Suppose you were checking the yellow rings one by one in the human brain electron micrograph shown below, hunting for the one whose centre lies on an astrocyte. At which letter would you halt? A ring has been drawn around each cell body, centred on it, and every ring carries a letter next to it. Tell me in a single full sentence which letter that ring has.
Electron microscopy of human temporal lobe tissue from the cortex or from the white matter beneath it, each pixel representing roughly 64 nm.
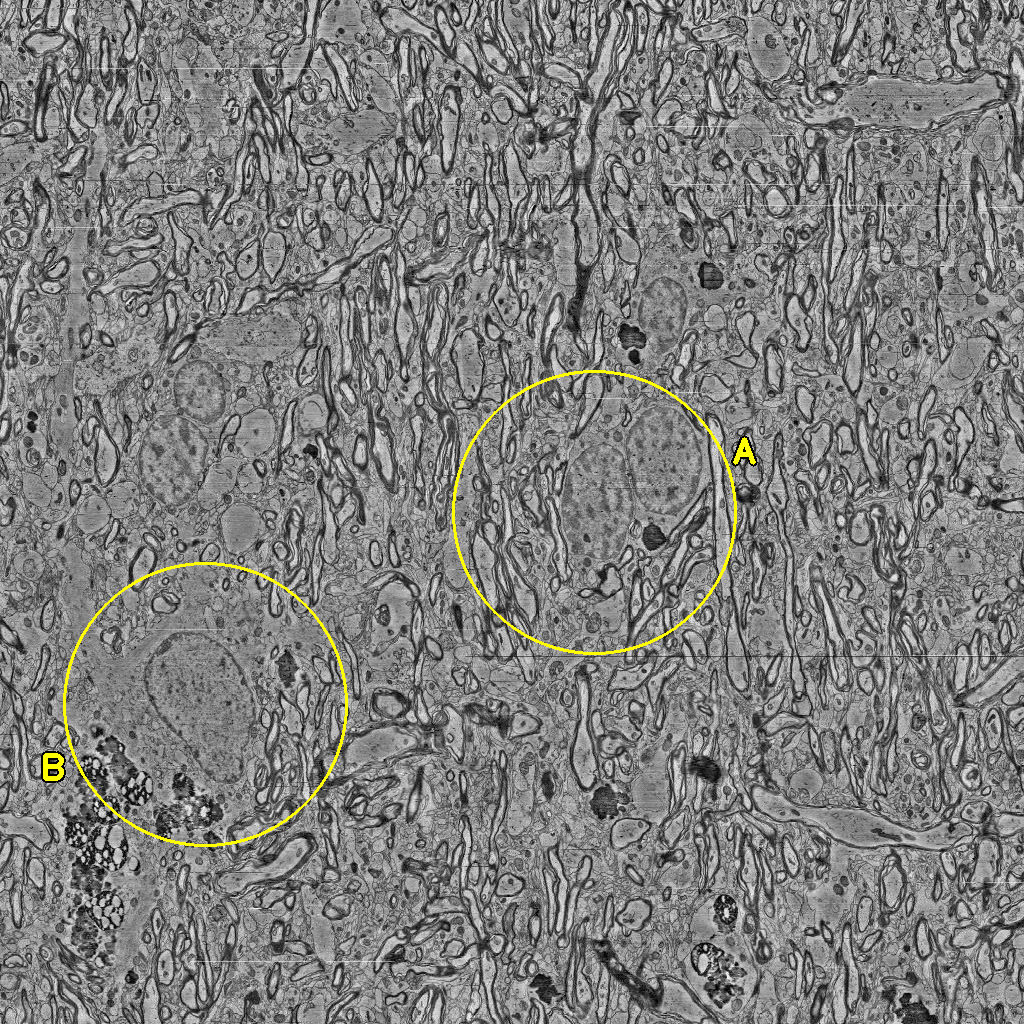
Going through the rings, I would stop at ring B, the one centred on the cell asked for.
